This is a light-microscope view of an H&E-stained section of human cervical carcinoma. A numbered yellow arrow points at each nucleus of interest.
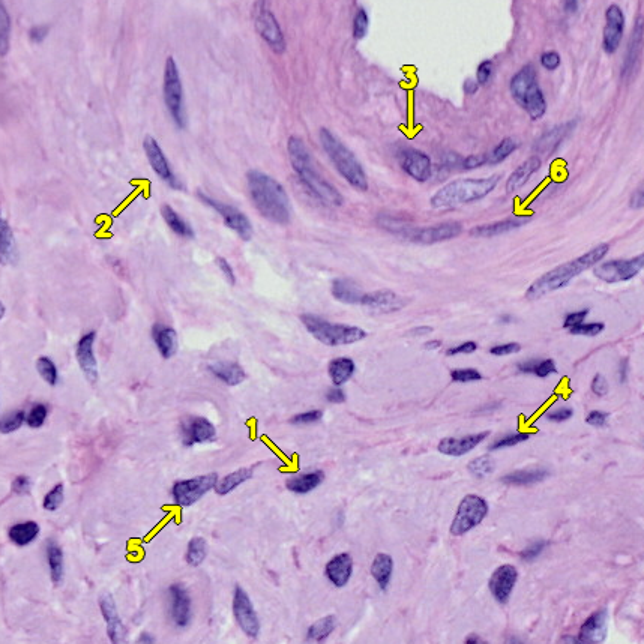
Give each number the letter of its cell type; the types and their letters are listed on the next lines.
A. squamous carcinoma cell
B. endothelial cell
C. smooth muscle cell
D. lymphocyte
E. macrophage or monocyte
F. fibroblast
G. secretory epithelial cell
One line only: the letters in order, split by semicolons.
F; F; C; F; F; C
